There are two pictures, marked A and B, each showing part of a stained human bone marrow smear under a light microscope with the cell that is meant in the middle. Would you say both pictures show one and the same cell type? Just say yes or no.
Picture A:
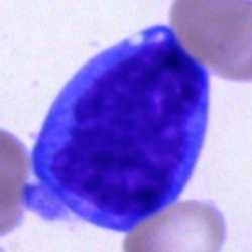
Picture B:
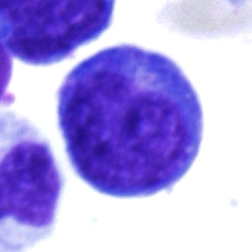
yes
